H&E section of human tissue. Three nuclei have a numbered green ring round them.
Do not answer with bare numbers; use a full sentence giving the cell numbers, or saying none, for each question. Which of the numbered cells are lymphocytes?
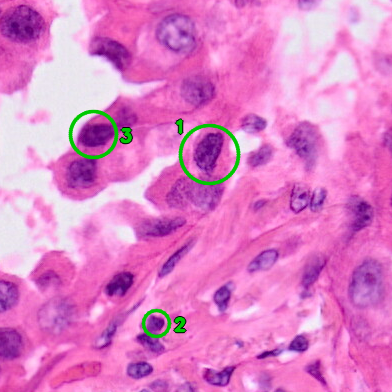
Exactly one of the numbered cells is a lymphocyte, namely cell 2.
